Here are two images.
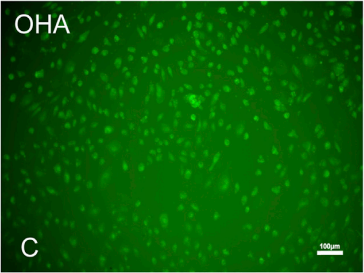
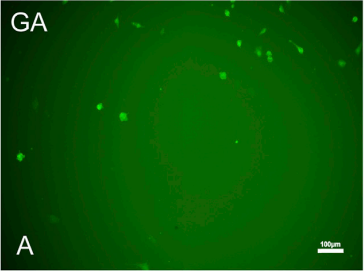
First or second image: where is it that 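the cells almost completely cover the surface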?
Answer: The first image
